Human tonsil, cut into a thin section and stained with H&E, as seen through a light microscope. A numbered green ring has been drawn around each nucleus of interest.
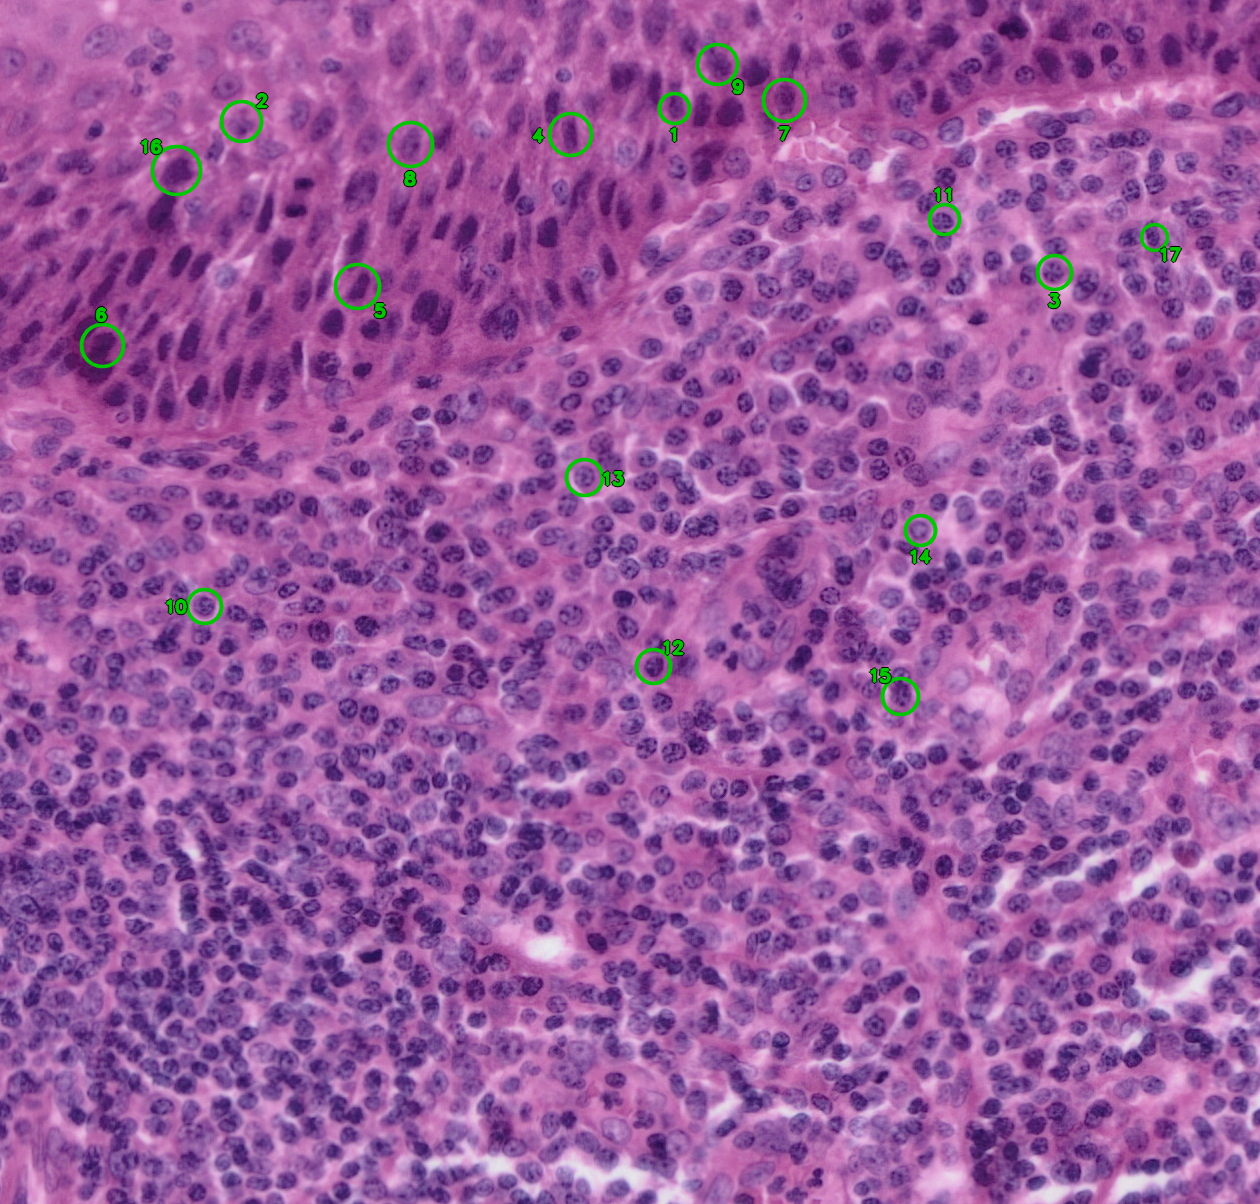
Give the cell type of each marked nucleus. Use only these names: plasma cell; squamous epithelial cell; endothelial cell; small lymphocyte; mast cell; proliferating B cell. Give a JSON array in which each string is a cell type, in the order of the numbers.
["squamous epithelial cell", "squamous epithelial cell", "plasma cell", "squamous epithelial cell", "squamous epithelial cell", "squamous epithelial cell", "squamous epithelial cell", "squamous epithelial cell", "squamous epithelial cell", "plasma cell", "plasma cell", "plasma cell", "plasma cell", "plasma cell", "plasma cell", "squamous epithelial cell", "plasma cell"]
